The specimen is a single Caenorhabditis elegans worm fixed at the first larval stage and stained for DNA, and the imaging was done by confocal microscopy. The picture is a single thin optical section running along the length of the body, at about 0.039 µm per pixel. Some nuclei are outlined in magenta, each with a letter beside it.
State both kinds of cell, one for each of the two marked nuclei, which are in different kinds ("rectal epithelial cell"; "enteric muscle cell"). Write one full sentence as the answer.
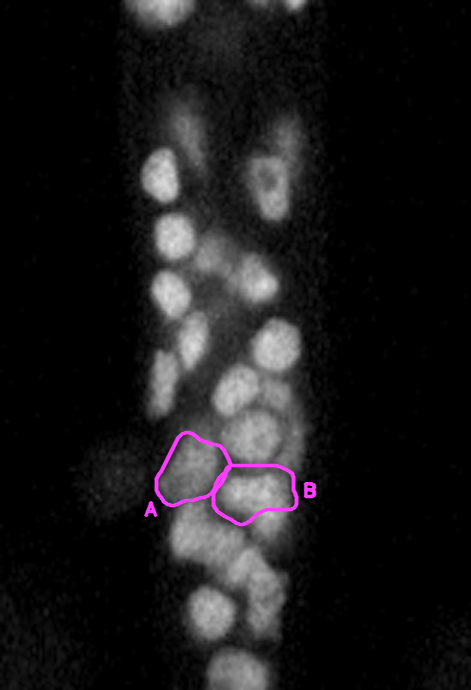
A belongs to a rectal epithelial cell and B to an enteric muscle cell.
